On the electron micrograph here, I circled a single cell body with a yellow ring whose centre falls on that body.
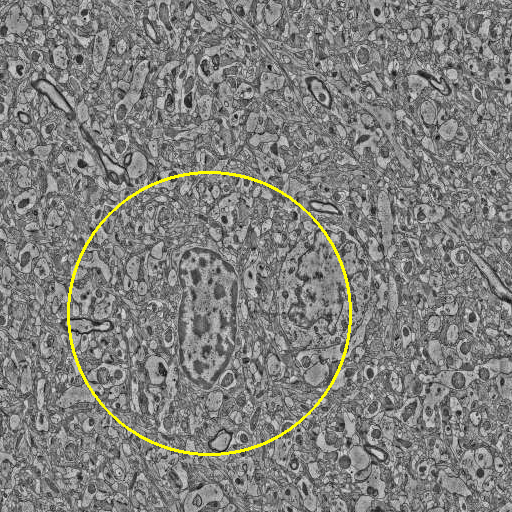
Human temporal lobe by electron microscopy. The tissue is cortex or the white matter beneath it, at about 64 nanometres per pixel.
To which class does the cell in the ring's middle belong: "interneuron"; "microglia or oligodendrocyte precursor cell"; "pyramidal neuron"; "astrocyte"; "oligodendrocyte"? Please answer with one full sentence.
In this picture, the cell body circled at the ring's centre belongs to a microglial cell or oligodendrocyte precursor cell.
